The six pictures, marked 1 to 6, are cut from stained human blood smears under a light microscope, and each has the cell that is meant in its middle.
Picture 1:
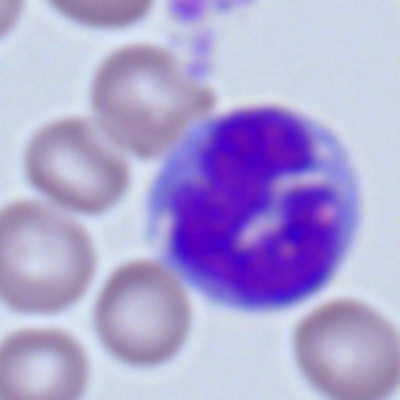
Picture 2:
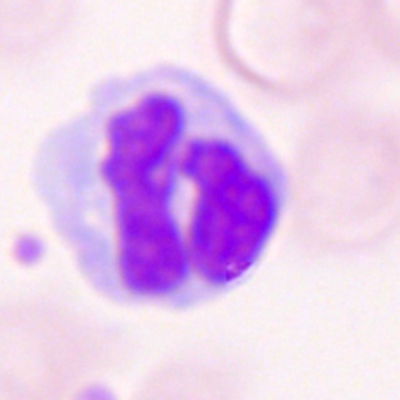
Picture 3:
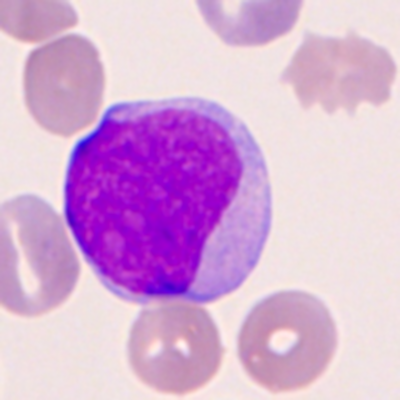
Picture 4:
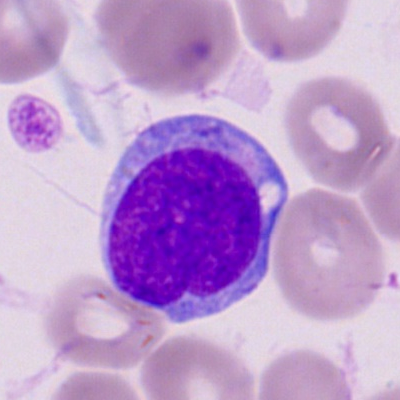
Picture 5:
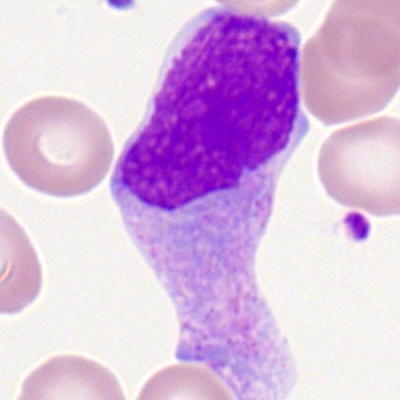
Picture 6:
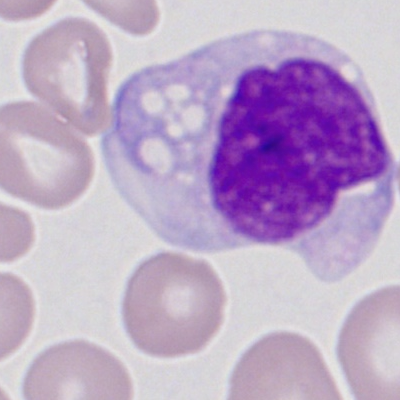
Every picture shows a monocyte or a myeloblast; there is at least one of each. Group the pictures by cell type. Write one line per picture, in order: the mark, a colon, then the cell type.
1: monocyte
2: monocyte
3: myeloblast
4: myeloblast
5: monocyte
6: monocyte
